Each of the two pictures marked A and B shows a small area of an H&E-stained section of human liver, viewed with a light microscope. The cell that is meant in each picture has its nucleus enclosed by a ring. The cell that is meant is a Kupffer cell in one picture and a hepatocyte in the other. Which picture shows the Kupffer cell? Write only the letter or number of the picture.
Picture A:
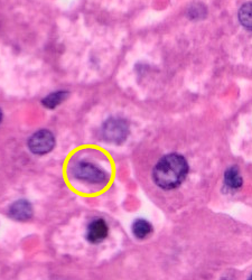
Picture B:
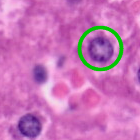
A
